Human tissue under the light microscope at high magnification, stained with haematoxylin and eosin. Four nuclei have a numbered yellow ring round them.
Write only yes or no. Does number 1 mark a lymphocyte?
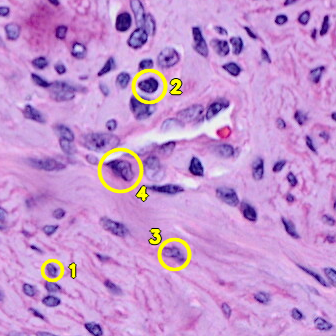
no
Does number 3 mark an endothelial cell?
no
